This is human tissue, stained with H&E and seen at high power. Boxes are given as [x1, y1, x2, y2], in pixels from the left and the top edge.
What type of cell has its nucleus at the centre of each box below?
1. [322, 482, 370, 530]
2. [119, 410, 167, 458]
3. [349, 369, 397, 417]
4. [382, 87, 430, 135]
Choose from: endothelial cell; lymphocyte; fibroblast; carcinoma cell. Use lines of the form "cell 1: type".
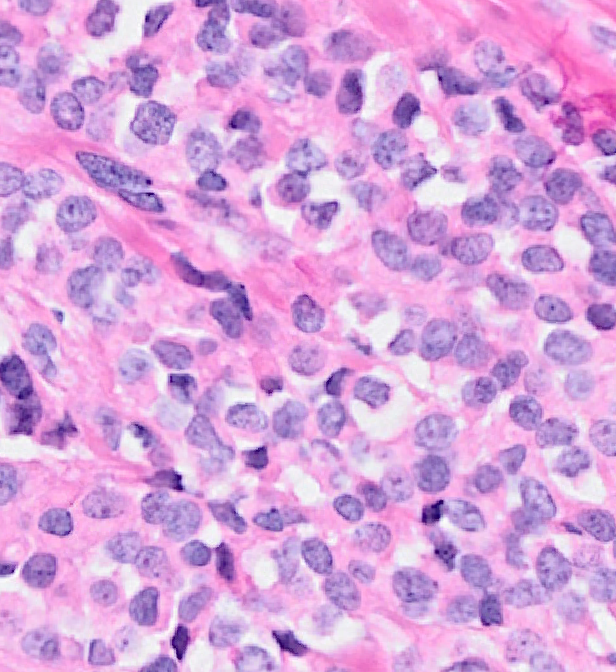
cell 1: carcinoma cell
cell 2: endothelial cell
cell 3: carcinoma cell
cell 4: carcinoma cell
